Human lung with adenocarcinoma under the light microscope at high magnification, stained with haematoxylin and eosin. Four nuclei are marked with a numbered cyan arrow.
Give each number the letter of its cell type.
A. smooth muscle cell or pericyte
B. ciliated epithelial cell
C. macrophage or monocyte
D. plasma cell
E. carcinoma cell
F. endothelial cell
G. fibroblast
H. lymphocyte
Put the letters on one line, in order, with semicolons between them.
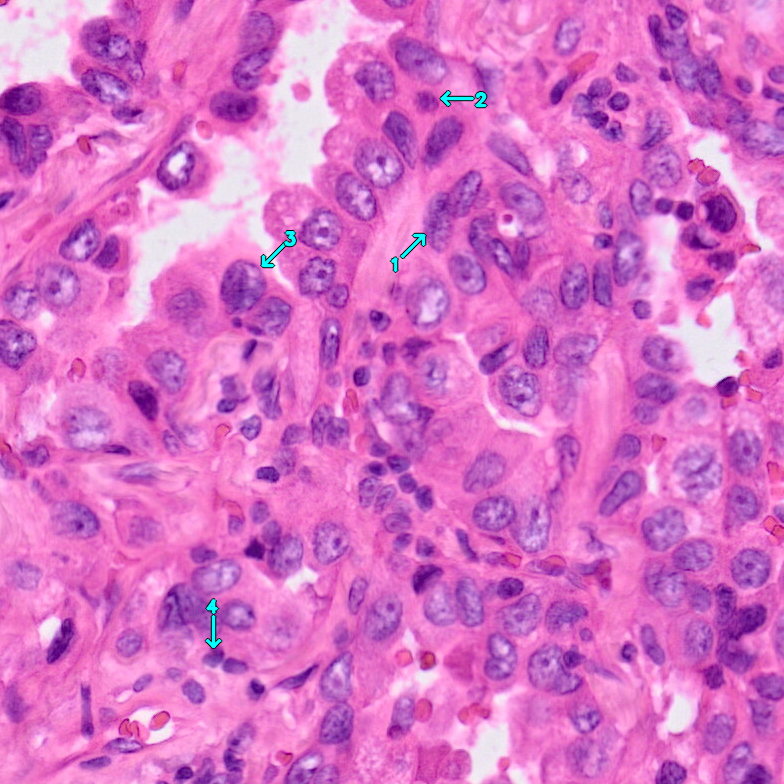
E; E; E; H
